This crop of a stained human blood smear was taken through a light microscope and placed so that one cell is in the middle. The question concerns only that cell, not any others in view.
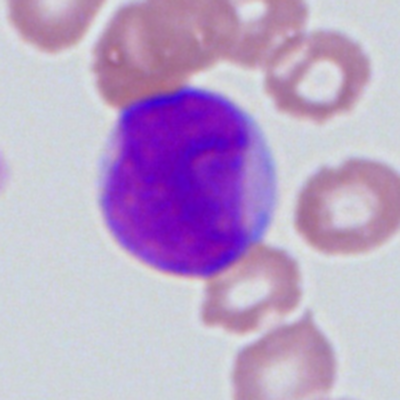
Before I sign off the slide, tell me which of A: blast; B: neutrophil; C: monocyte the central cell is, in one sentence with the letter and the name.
Since the middle cell is a blast, option A is the right one.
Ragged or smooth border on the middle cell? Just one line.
Its outline is smooth, with no projections anywhere along the edge.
